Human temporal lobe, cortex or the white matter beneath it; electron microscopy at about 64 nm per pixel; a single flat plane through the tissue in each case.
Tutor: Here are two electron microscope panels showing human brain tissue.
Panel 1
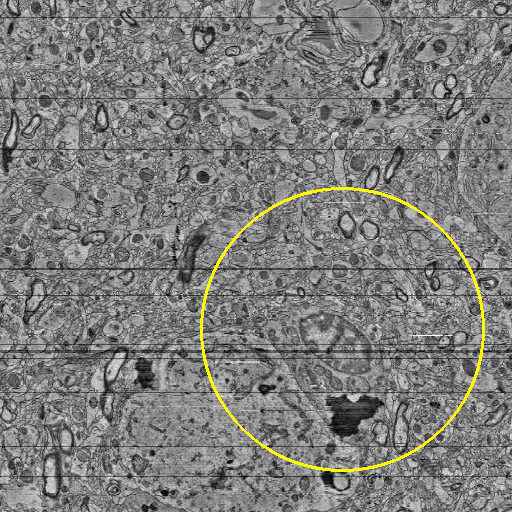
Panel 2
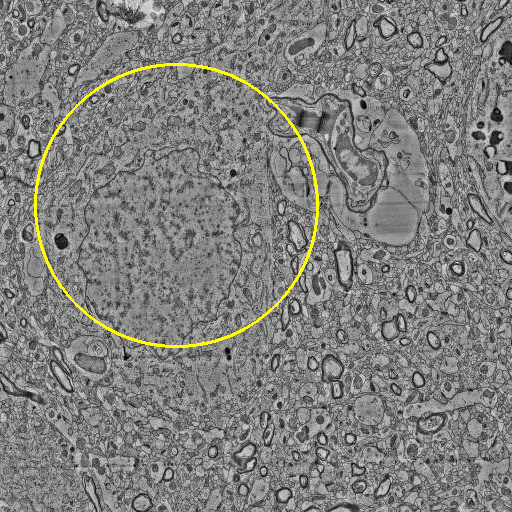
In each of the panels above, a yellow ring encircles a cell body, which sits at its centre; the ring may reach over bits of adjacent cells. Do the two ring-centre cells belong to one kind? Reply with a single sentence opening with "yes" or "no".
No, the two cells sitting at the ring centres in the panels belong to two kinds.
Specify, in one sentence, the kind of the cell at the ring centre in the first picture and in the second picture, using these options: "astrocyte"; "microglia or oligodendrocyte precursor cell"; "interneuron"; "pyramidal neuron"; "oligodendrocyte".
So the first is an oligodendrocyte, the second a pyramidal neuron.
